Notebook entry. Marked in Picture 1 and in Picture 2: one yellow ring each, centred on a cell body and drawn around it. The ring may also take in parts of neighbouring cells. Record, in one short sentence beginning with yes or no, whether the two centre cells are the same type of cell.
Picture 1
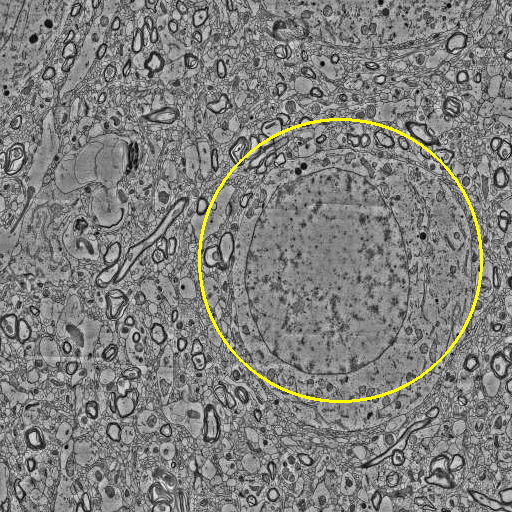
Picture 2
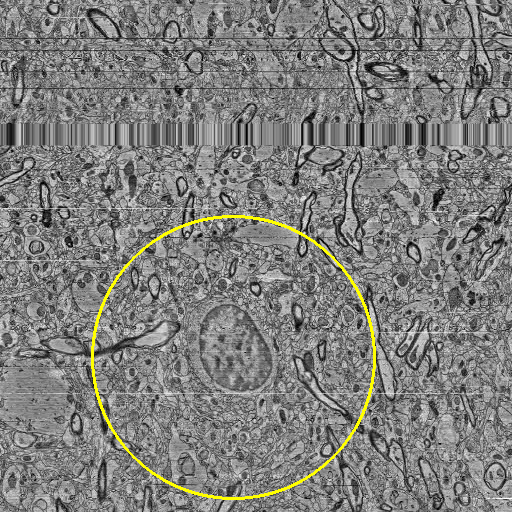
No, they are two types of cell.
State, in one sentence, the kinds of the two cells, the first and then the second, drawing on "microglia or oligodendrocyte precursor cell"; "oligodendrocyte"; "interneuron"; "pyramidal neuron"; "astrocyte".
The ring in the second picture is centred on an oligodendrocyte, the ring in the first on a pyramidal neuron.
